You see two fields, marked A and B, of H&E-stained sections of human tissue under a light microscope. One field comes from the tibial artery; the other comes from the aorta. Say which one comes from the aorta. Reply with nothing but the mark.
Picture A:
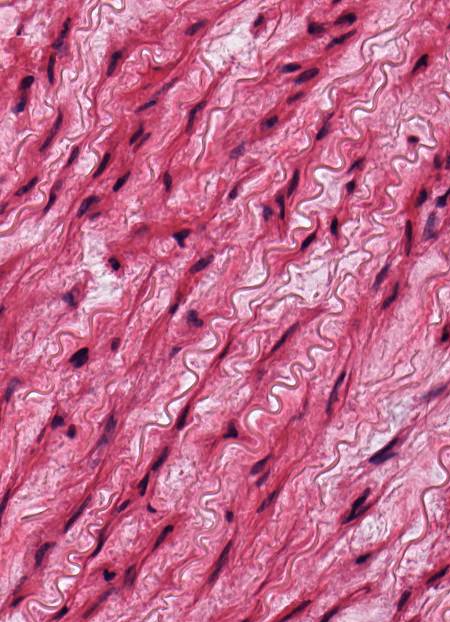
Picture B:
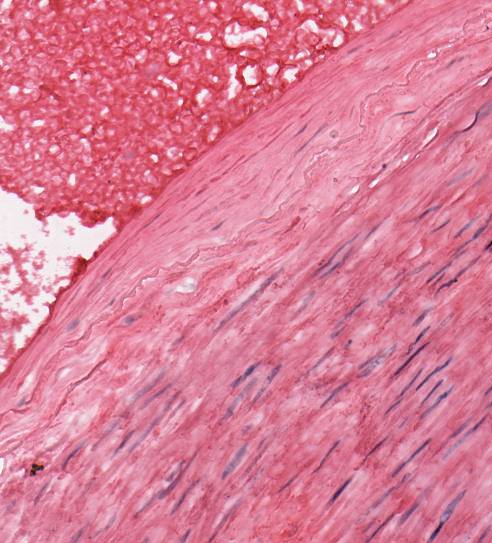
A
